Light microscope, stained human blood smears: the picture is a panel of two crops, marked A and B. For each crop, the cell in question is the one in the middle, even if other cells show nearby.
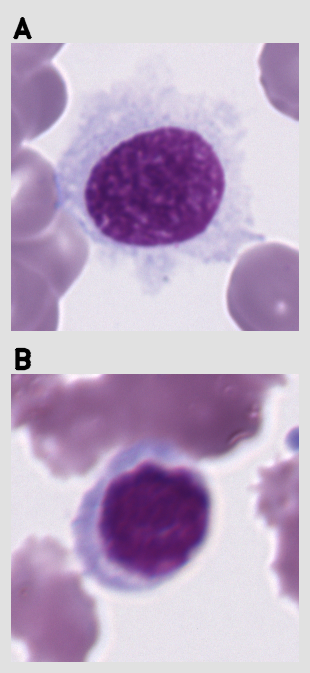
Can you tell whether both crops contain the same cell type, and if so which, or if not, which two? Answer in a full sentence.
Yes, both crops show hairy cells, and nothing else needs adding.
